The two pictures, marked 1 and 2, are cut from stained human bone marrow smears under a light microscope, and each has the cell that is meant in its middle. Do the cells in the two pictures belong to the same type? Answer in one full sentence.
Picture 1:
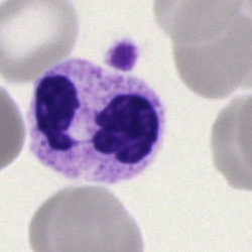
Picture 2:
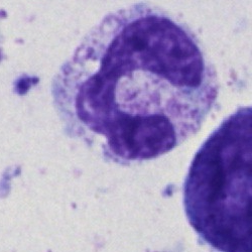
Yes; the cells in both pictures are segmented neutrophils.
